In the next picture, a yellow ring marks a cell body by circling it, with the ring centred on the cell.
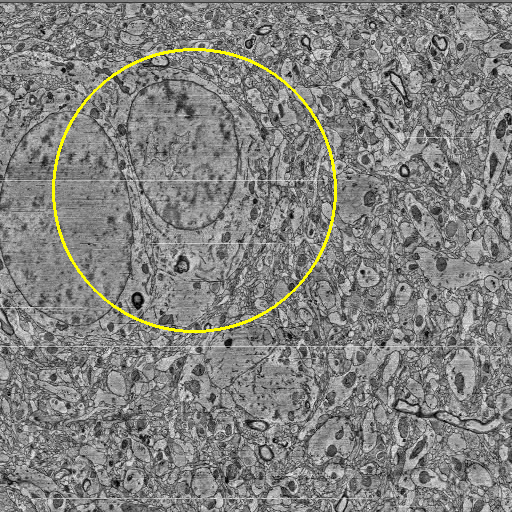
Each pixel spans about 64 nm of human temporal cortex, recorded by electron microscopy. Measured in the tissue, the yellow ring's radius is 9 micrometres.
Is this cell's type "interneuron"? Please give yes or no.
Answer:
no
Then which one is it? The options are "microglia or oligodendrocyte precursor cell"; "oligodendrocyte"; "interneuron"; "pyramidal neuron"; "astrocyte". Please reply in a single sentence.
What the ring encloses here is a pyramidal neuron.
